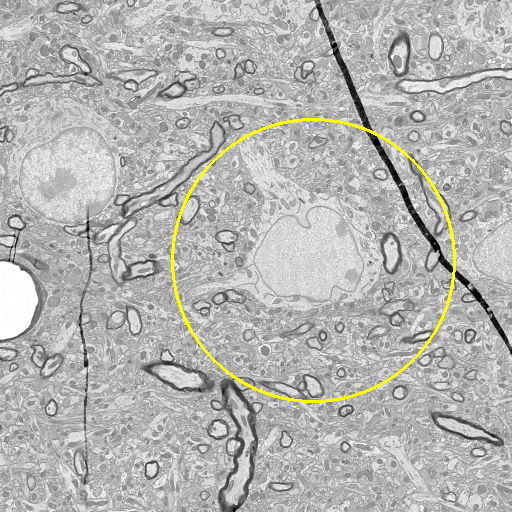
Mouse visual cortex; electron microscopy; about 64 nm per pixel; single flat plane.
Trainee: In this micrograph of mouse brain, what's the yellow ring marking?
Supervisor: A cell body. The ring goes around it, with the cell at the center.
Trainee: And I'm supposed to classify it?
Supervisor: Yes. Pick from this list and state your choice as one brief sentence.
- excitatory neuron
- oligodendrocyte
The cell at the ring's center is an excitatory neuron.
